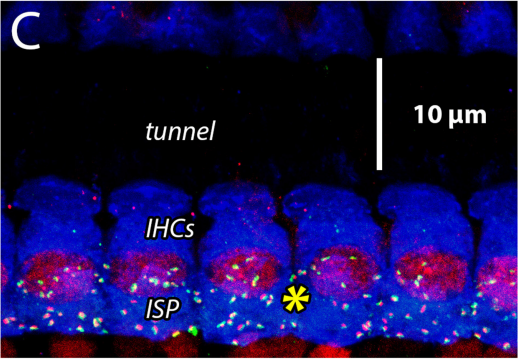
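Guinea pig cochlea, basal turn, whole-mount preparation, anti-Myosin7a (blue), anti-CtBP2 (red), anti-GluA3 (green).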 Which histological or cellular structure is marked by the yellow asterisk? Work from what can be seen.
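Many small red dots paired with green dots cluster around the asterisk. The answer: ribbon synapses.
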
